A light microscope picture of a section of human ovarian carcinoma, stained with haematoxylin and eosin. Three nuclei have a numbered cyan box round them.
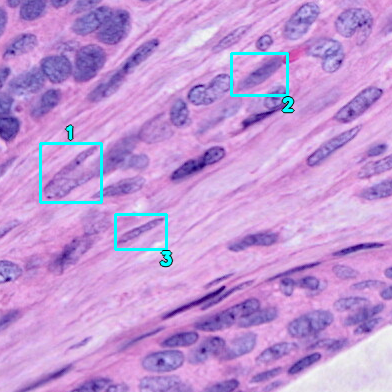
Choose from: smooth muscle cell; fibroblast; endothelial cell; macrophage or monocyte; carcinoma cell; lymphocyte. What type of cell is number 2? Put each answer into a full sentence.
The cell indicated with the number 2 is classed as an endothelial cell.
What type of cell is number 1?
The cell identified by the number 1 is a fibroblast.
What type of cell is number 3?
The cell tagged with 3 in this tissue section is a fibroblast.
